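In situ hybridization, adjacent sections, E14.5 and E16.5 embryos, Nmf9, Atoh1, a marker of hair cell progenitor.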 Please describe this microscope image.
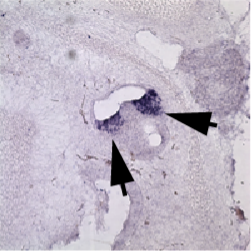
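A section through developing tissue shows a small irregular fluid-filled duct lined by epithelium, surrounded by pale loose mesenchyme. Two patches of the duct's epithelial lining are stained dark purple, while the rest of the wall and the surrounding tissue stay pale. The labelled patches lie on the floor and side of the duct, forming thickened bands of packed cells.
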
